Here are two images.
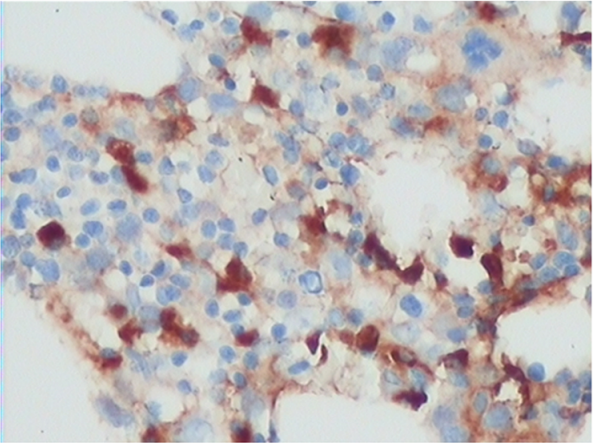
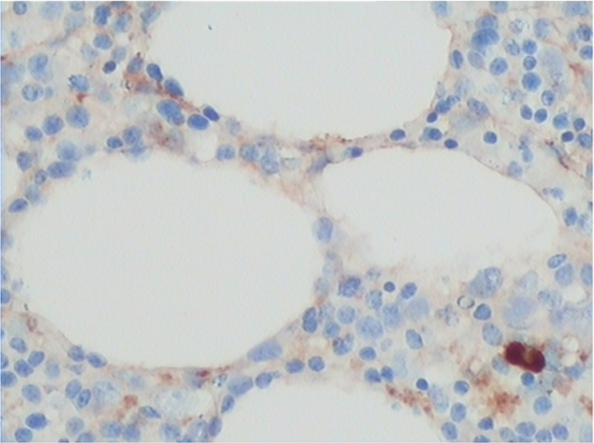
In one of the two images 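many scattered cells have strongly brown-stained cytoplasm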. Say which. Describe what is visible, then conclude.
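First image: numerous scattered cells are filled with dark brown stain. Second image: only faint pale brown background with a single strongly stained cell. That points to this answer: the first image.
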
